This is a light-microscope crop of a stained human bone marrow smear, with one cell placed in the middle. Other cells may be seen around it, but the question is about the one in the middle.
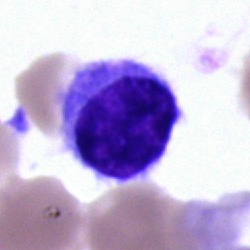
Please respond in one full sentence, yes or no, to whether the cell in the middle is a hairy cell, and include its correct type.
Yes, the cell placed centrally within the crop is a hairy cell.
